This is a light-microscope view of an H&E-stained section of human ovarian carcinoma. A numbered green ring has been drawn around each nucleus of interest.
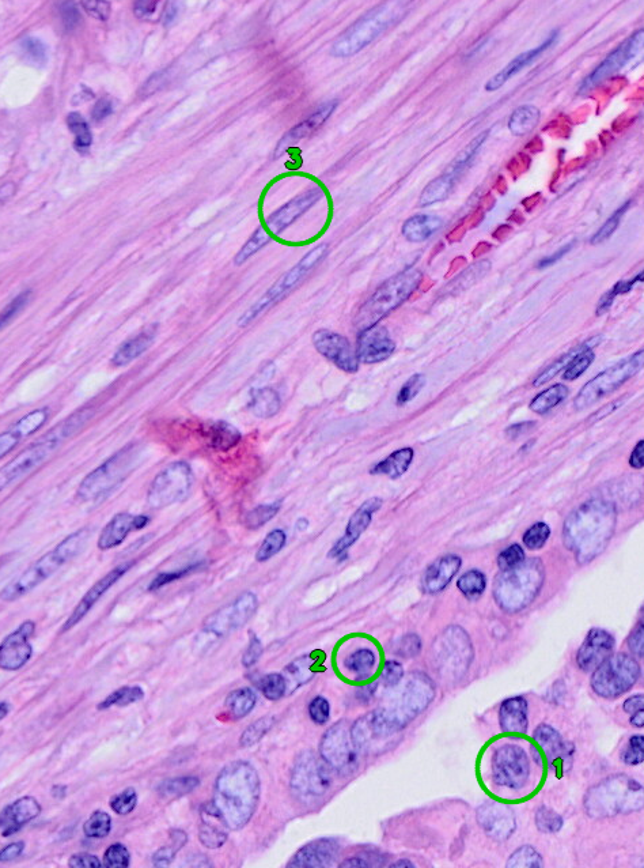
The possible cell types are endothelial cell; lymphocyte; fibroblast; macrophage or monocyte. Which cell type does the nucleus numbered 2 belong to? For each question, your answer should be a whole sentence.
The cell whose nucleus carries the number 2 is a lymphocyte.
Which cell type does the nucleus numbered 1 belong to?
The cell pointed out by number 1 is a macrophage or monocyte.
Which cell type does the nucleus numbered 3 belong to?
Number 3 is placed on a fibroblast here.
